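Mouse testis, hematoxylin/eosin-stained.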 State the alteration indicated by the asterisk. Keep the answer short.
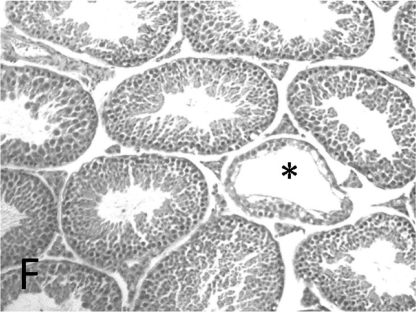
Abnormal seminiferous epithelium.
